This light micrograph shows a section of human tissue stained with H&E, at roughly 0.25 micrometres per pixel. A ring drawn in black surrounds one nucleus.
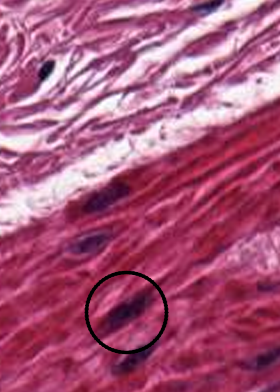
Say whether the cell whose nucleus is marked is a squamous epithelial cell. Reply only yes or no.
no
